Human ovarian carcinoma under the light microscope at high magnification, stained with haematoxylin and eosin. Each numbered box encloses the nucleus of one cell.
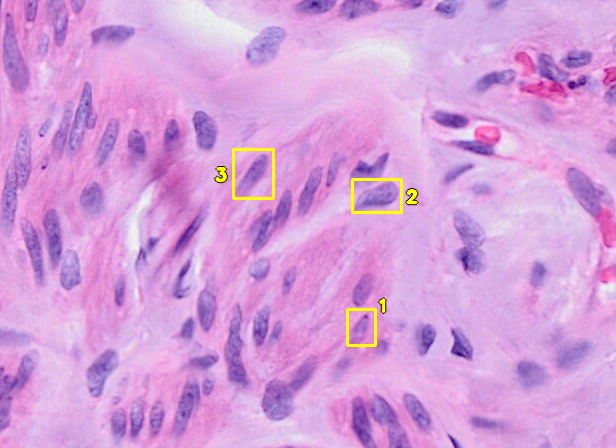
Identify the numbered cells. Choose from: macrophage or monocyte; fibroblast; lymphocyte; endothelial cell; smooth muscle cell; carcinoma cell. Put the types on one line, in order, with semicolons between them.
smooth muscle cell; fibroblast; smooth muscle cell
